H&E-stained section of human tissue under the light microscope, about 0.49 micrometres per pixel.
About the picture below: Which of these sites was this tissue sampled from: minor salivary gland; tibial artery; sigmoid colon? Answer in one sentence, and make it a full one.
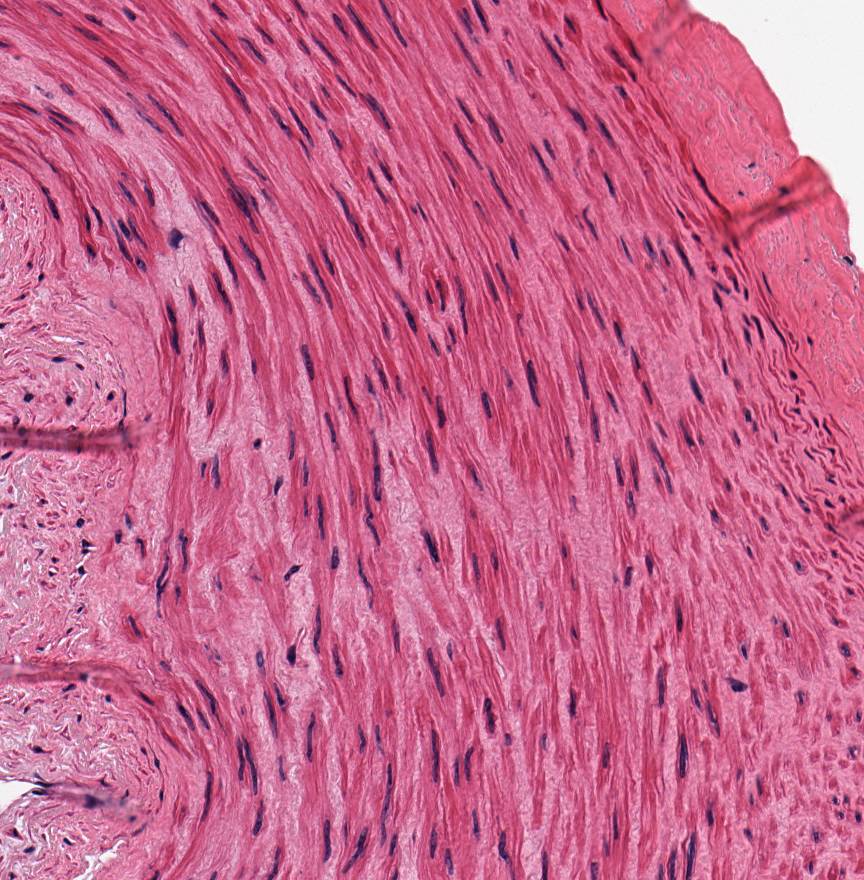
The specimen was sampled from the tibial artery.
